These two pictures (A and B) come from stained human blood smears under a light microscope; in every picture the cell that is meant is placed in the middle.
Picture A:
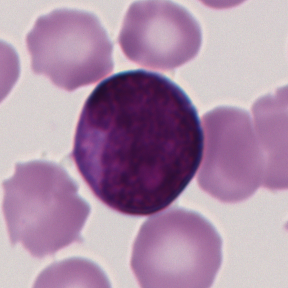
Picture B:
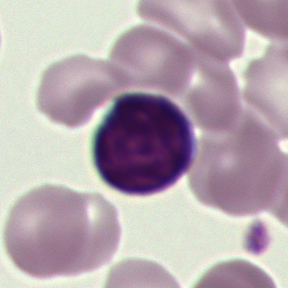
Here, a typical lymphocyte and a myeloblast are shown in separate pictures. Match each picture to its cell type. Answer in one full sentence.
Picture A shows a myeloblast and picture B shows a typical lymphocyte.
